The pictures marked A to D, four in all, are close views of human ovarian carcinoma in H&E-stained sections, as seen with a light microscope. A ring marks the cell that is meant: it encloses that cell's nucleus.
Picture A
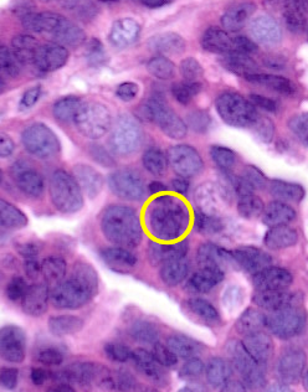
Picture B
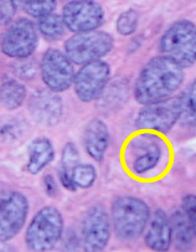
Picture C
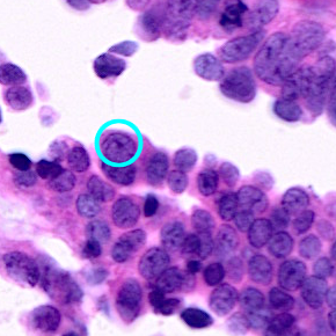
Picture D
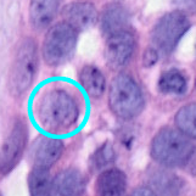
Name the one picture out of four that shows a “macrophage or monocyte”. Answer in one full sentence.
It is picture B that shows the “macrophage or monocyte”.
